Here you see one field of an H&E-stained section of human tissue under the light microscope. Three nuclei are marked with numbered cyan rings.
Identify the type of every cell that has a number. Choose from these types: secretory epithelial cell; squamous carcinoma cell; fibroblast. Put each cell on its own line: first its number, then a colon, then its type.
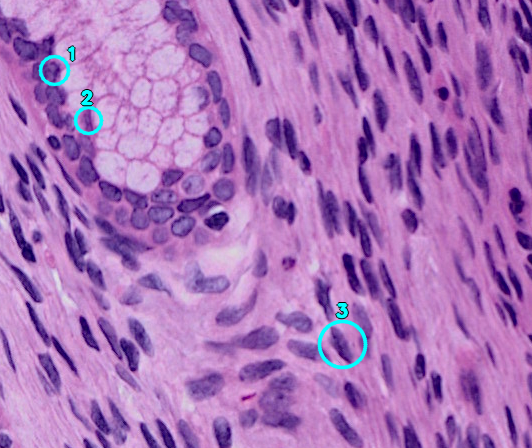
1: secretory epithelial cell
2: secretory epithelial cell
3: fibroblast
